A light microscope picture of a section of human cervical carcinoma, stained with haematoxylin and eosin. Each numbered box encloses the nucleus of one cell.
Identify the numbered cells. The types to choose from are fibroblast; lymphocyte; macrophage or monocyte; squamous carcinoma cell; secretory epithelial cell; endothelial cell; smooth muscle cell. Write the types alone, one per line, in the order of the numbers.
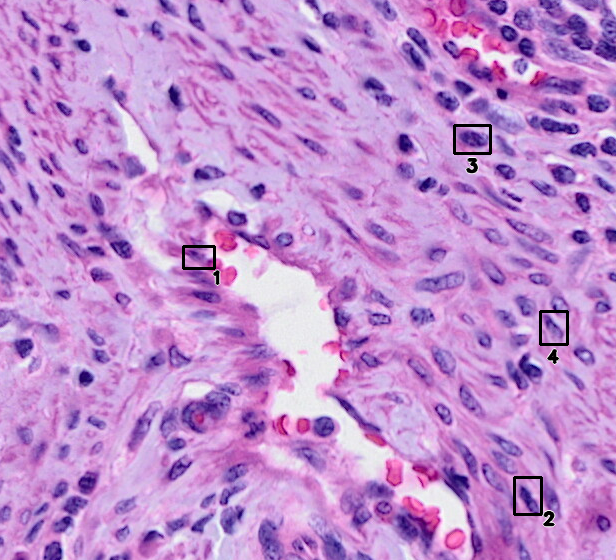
endothelial cell
lymphocyte
lymphocyte
smooth muscle cell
